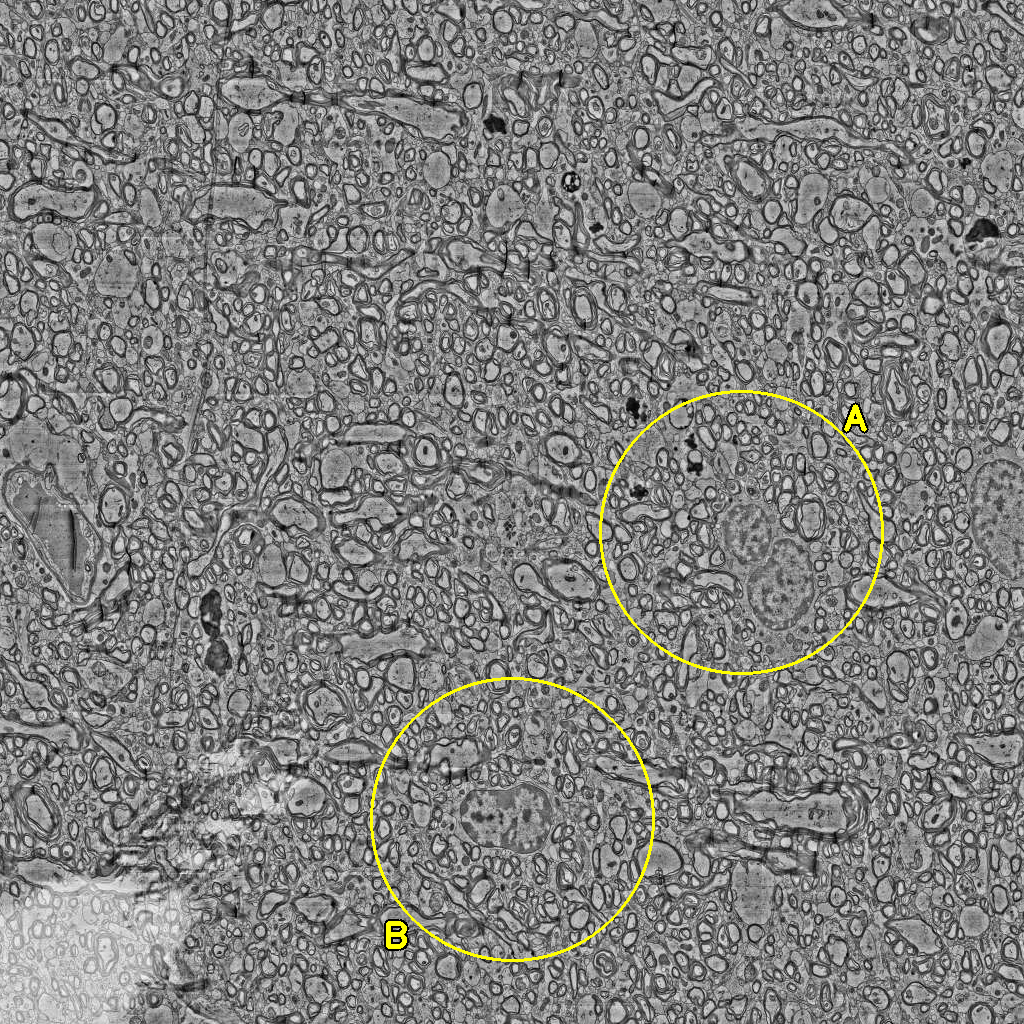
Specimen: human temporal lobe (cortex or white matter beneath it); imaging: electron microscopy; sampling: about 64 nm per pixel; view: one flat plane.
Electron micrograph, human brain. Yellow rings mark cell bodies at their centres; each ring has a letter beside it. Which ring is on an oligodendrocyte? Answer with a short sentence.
Ring A is centred on it.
